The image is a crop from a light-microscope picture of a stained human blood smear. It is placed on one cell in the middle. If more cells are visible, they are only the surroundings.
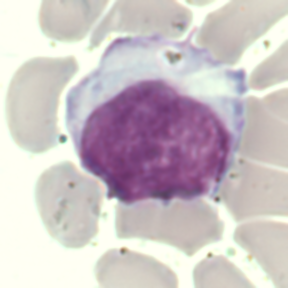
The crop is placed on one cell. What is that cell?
plasma cell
